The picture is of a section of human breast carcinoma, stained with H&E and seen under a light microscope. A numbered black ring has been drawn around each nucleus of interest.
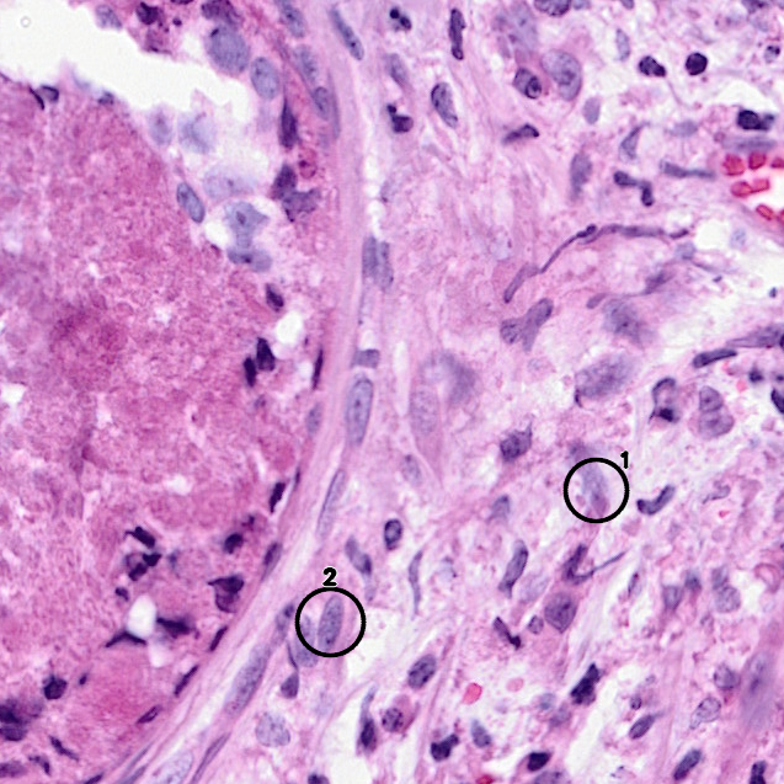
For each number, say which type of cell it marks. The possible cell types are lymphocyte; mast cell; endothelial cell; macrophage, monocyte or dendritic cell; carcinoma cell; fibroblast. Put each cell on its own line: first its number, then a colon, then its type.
1: fibroblast
2: endothelial cell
